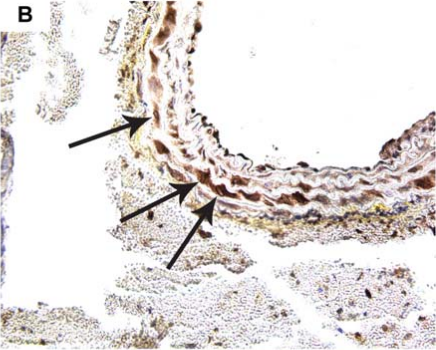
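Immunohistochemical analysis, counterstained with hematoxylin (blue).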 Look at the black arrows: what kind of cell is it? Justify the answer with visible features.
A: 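Medial cells. The arrows point into a wavy layered band of the vessel wall. The marked cells are elongated and stained dark brown around their nuclei.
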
